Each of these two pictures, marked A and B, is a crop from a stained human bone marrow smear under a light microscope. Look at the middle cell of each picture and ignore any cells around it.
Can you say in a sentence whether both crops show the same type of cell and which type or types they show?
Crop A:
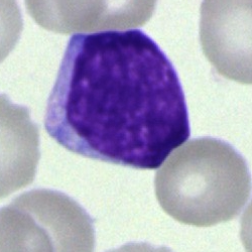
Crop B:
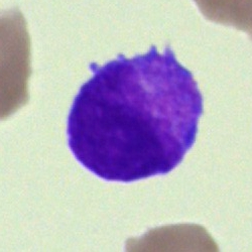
Yes, both crops in this set show blasts.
